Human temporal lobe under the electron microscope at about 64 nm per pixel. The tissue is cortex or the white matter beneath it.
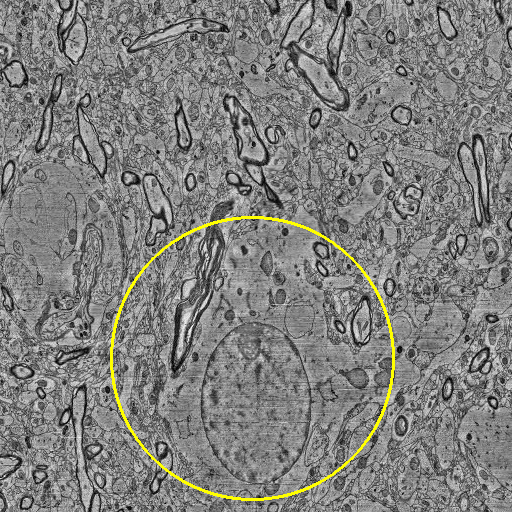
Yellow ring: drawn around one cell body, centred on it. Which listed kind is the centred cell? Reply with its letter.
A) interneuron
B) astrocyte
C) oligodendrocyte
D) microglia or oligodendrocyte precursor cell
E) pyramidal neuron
B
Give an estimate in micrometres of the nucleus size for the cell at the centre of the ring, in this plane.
Approximately 11 micrometres long and 7 micrometres wide, in this plane.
